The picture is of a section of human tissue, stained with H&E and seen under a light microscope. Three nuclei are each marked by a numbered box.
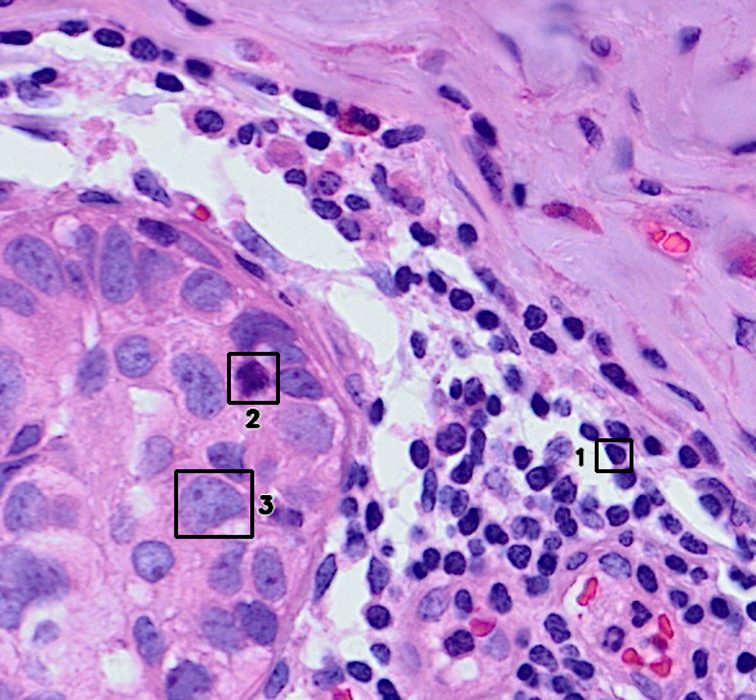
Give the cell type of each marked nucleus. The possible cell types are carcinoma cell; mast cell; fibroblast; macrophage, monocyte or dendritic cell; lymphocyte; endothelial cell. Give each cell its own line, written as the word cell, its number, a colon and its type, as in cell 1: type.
cell 1: lymphocyte
cell 2: carcinoma cell
cell 3: carcinoma cell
